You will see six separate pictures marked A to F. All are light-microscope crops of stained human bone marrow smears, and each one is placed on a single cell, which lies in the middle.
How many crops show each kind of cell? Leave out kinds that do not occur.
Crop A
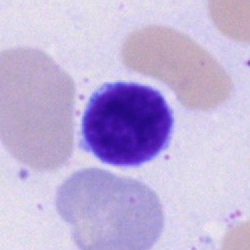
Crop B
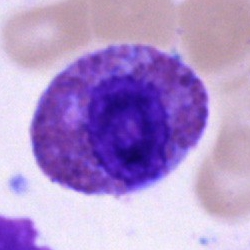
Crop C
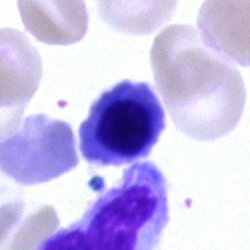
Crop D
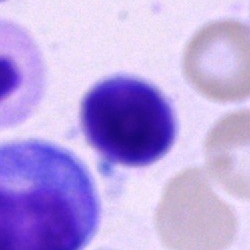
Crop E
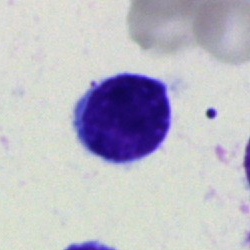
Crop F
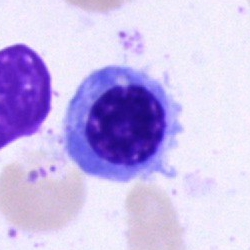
lymphocyte: 3
erythroblast: 2
eosinophil: 1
